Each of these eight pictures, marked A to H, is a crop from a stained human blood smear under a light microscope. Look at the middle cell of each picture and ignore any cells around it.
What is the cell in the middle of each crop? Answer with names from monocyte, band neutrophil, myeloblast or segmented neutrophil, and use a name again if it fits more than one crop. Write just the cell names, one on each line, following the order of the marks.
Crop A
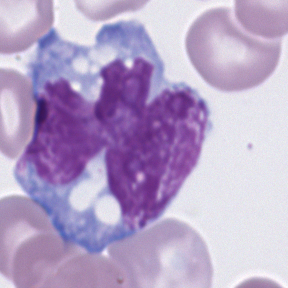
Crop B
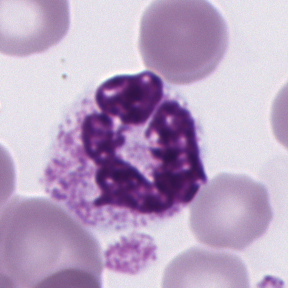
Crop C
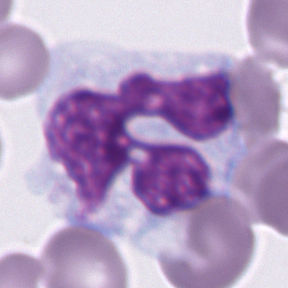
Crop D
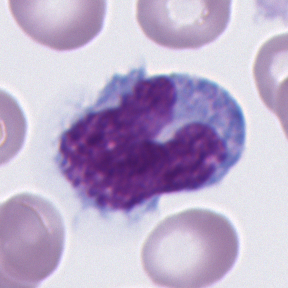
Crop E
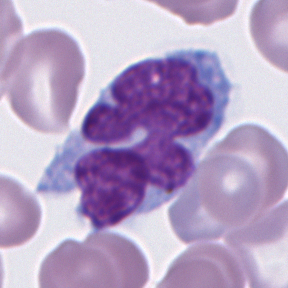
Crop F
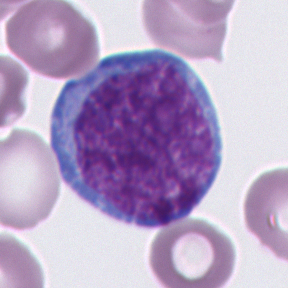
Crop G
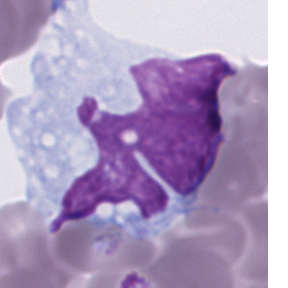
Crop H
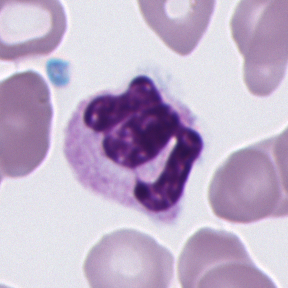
monocyte
segmented neutrophil
monocyte
monocyte
monocyte
myeloblast
monocyte
segmented neutrophil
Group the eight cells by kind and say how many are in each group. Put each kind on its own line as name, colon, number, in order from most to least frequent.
monocyte: 5
segmented neutrophil: 2
myeloblast: 1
